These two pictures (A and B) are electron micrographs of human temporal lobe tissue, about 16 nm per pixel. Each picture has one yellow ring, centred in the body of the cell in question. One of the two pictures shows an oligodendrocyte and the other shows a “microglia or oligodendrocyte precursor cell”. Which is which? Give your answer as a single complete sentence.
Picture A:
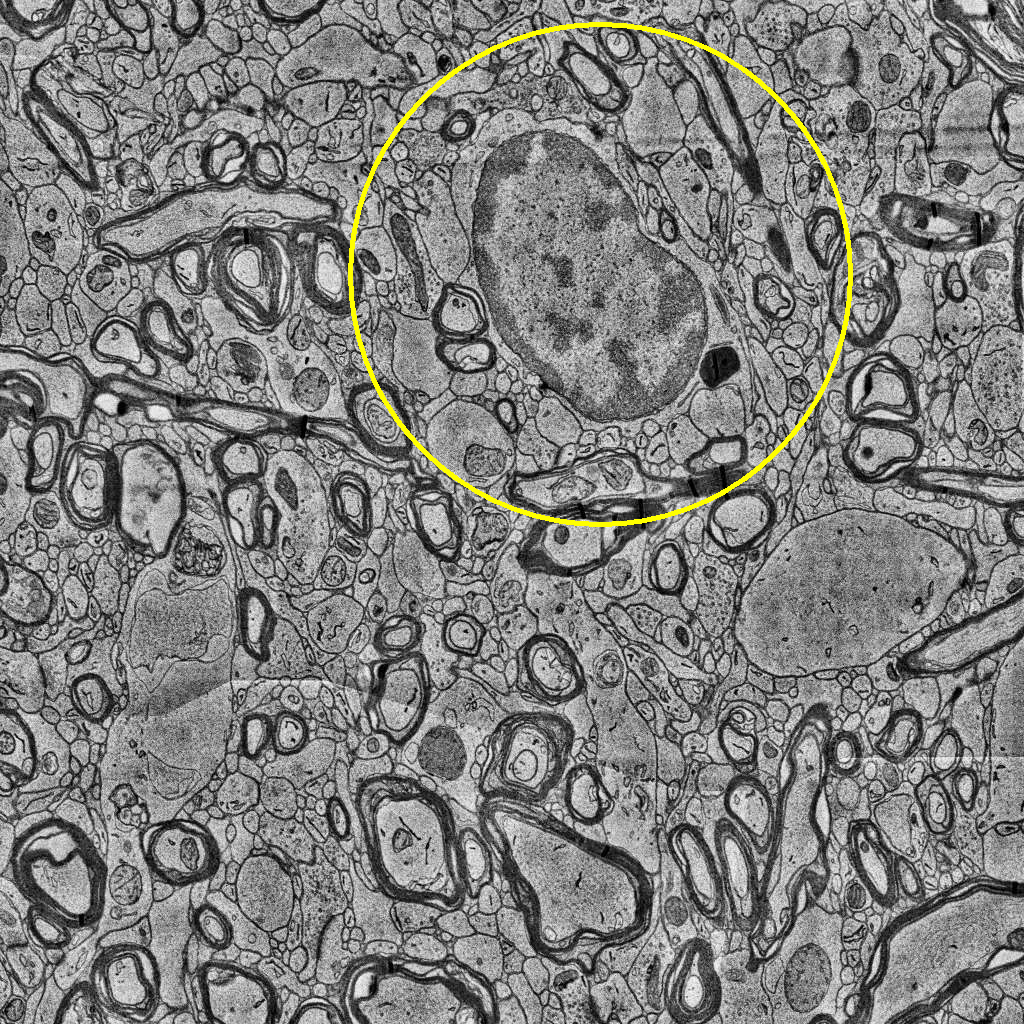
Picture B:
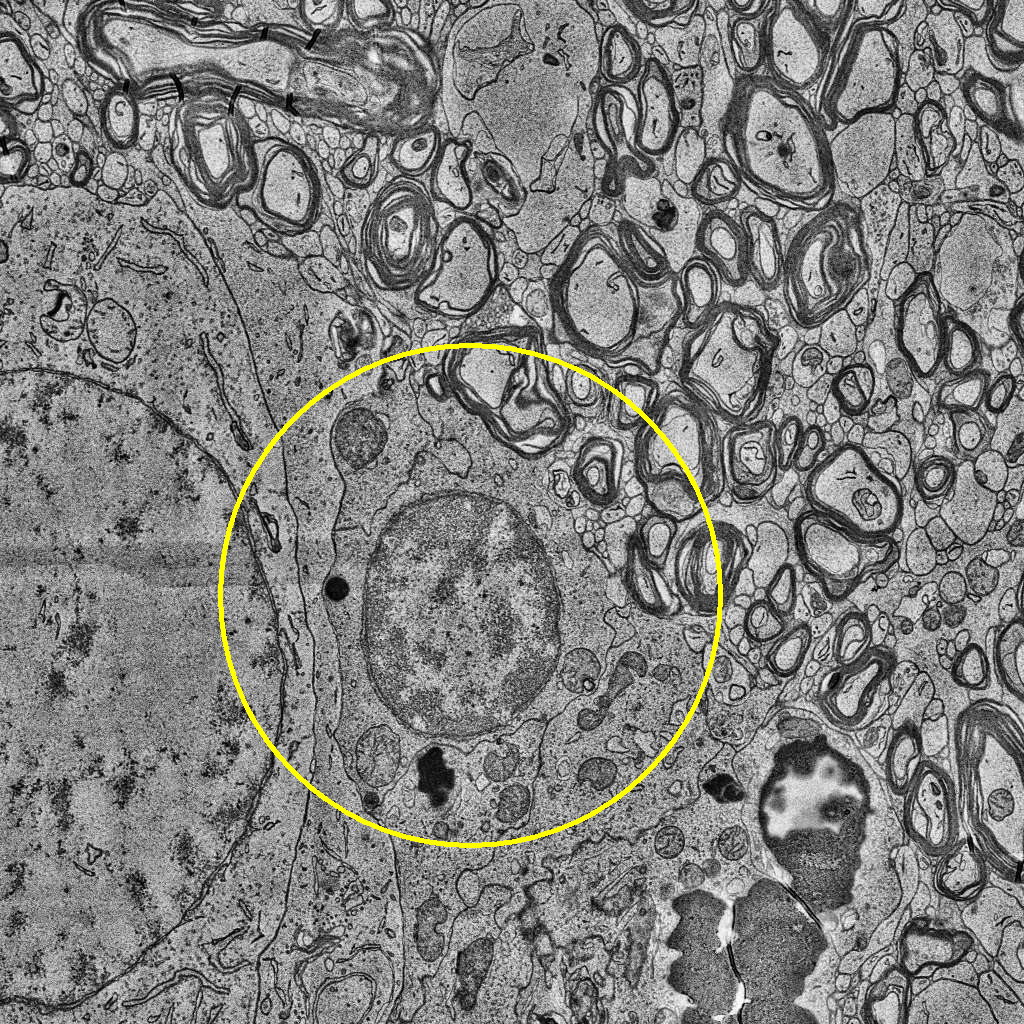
Picture A shows a “microglia or oligodendrocyte precursor cell” and picture B shows an oligodendrocyte.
